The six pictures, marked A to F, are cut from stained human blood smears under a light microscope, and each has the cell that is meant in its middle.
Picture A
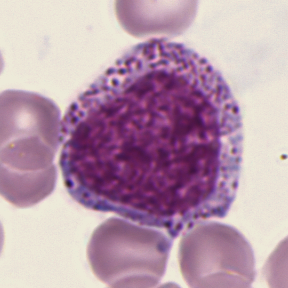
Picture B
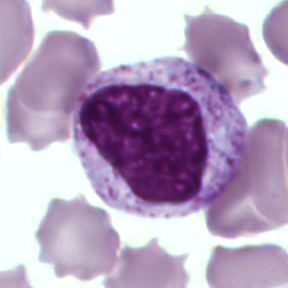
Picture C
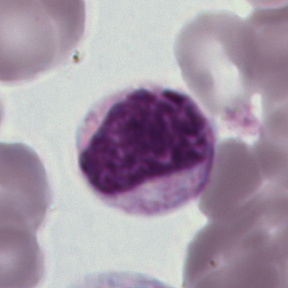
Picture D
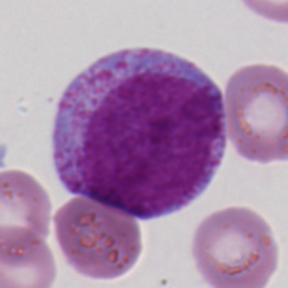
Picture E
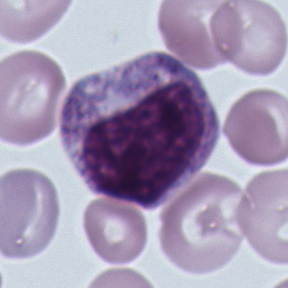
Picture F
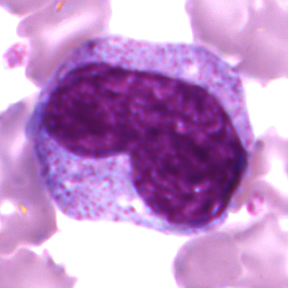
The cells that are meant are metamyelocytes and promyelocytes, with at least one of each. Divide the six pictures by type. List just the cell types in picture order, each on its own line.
promyelocyte
metamyelocyte
metamyelocyte
promyelocyte
metamyelocyte
promyelocyte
